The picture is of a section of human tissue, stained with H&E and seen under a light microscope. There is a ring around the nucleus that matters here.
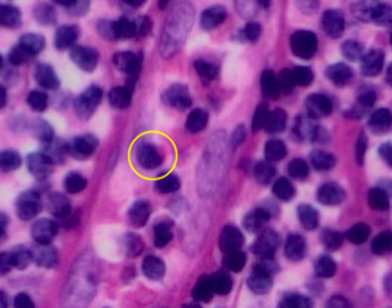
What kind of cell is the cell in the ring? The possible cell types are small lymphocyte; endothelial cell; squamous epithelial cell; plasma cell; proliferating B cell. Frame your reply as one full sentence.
For cell typing purposes, the cell in the ring is an endothelial cell.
